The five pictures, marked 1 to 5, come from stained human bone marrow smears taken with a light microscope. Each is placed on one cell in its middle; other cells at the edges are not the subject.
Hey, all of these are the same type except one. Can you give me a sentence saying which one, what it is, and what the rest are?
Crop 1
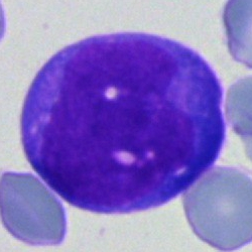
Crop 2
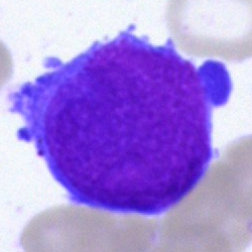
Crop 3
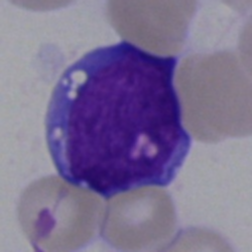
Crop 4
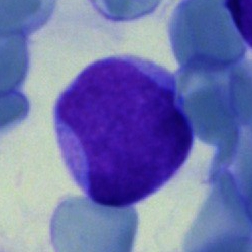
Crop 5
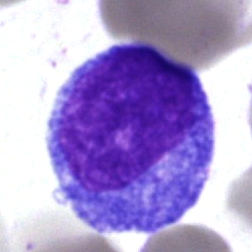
Crop 5 is a promyelocyte, and the other crops all show blasts.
